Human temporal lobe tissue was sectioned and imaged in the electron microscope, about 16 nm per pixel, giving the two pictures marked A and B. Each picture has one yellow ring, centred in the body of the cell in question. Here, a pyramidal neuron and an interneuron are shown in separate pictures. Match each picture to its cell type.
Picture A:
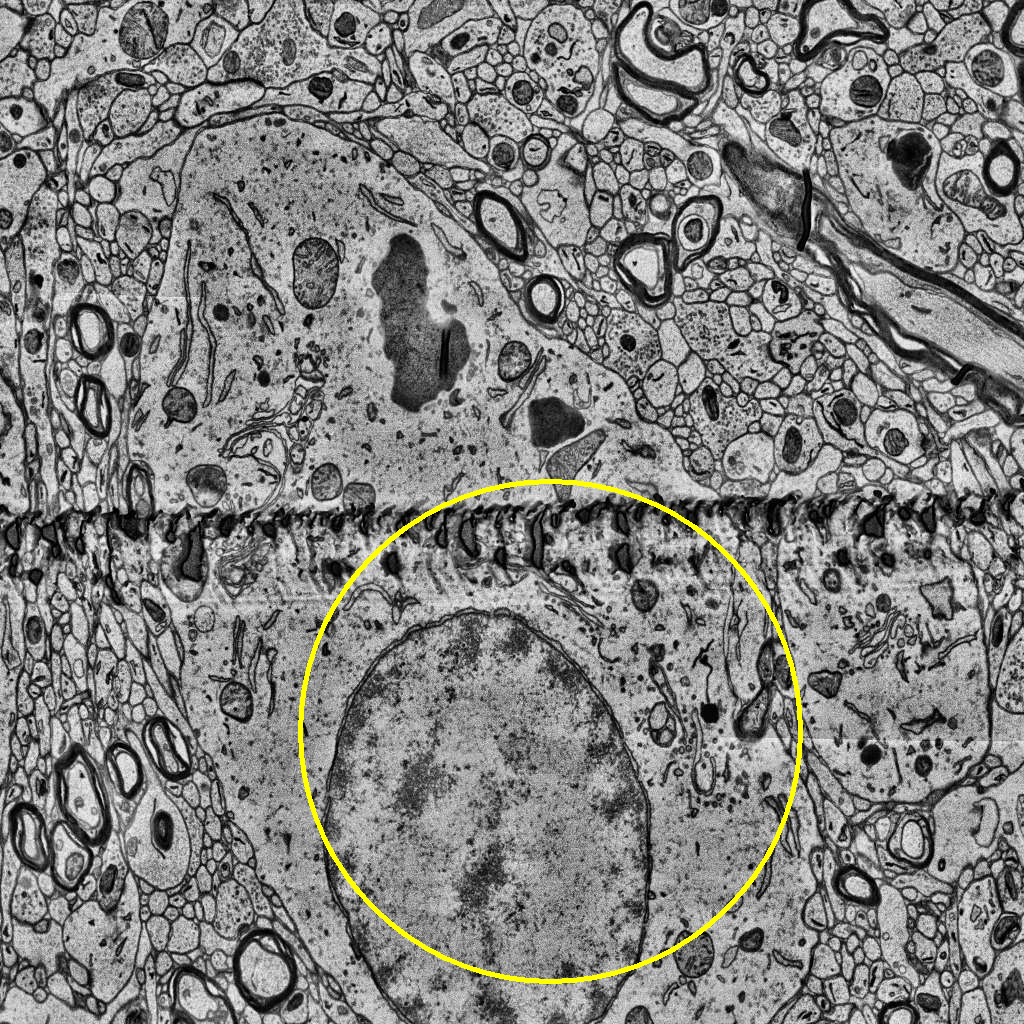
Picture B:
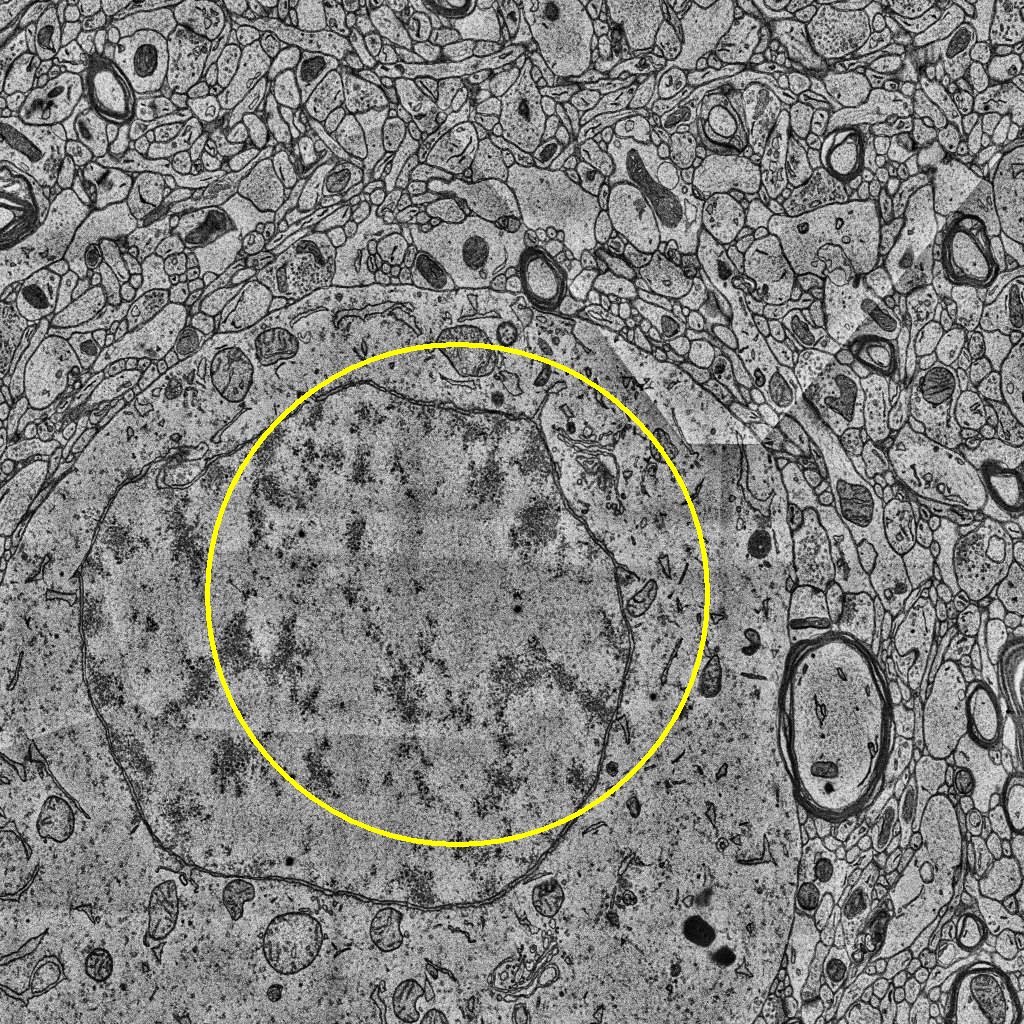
Picture A is of an interneuron, and picture B is of a pyramidal neuron.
